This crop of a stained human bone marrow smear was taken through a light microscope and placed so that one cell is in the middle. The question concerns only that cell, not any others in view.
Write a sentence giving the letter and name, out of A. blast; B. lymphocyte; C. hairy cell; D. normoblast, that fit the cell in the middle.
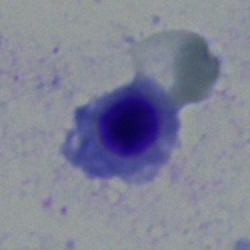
Option D is the correct option, with the middle cell being a normoblast.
